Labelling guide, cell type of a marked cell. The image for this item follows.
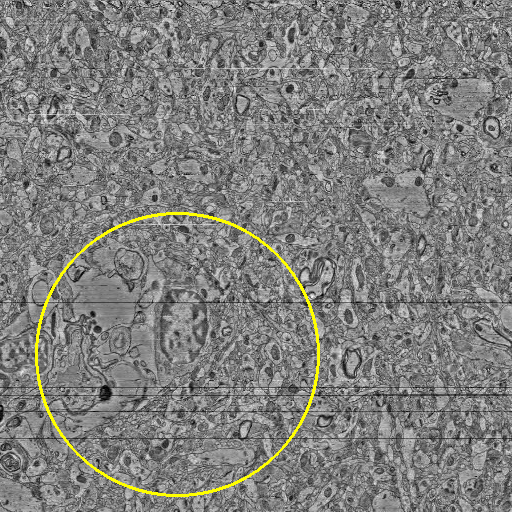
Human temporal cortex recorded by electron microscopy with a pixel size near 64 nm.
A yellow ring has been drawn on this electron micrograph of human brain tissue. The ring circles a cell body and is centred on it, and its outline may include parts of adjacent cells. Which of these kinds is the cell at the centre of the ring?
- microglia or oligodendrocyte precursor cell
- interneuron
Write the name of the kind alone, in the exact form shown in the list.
microglia or oligodendrocyte precursor cell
